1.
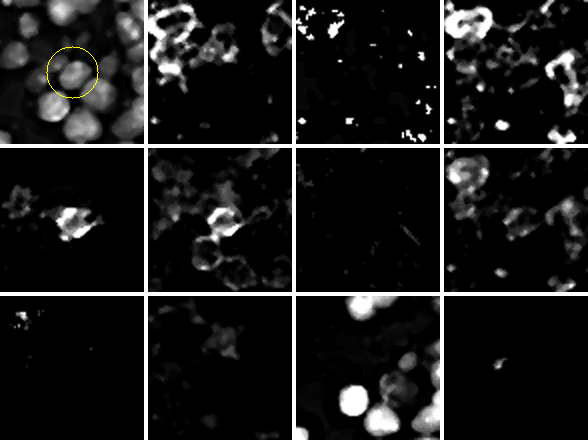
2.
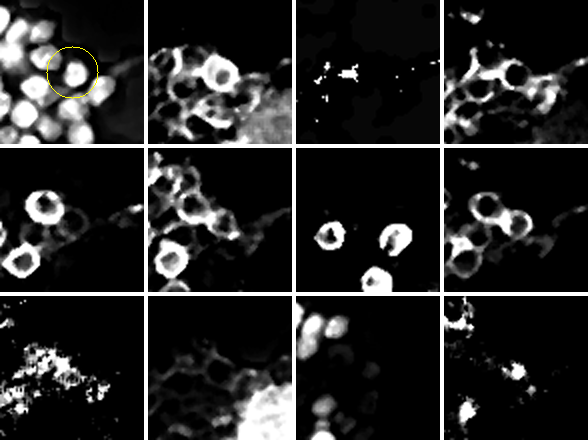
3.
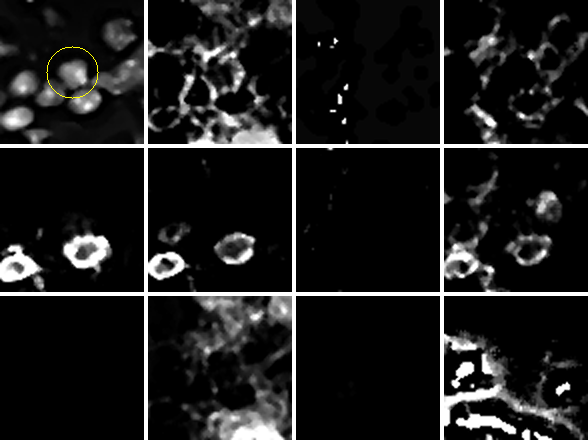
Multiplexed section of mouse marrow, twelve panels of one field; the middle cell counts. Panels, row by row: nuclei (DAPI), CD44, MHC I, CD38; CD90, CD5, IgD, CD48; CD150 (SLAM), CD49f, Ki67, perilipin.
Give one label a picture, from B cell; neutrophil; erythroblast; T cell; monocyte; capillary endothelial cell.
1: T cell
2: monocyte
3: neutrophil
